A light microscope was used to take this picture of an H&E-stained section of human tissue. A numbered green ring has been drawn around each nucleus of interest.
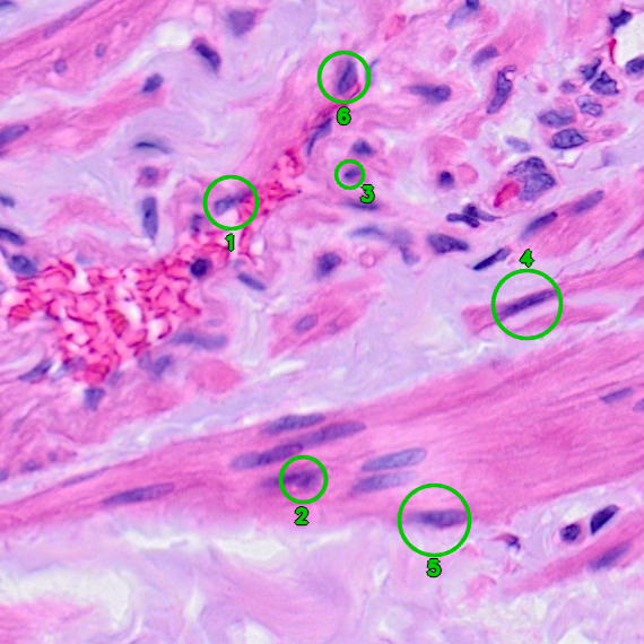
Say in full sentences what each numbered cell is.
Cells 1 and 6 are endothelial cells. Cells 2, 3, 4 and 5 are smooth muscle cells.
